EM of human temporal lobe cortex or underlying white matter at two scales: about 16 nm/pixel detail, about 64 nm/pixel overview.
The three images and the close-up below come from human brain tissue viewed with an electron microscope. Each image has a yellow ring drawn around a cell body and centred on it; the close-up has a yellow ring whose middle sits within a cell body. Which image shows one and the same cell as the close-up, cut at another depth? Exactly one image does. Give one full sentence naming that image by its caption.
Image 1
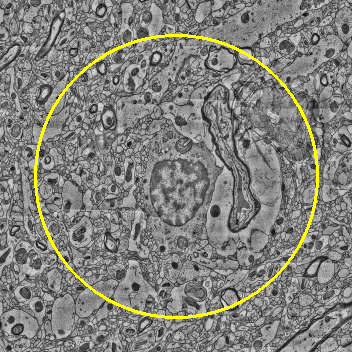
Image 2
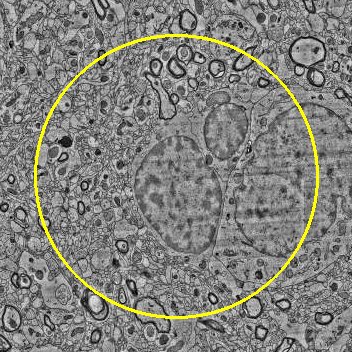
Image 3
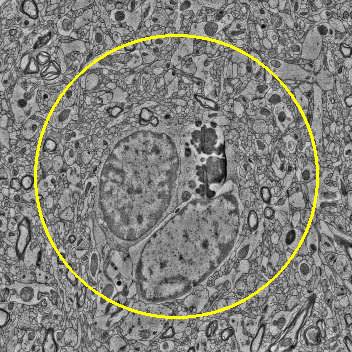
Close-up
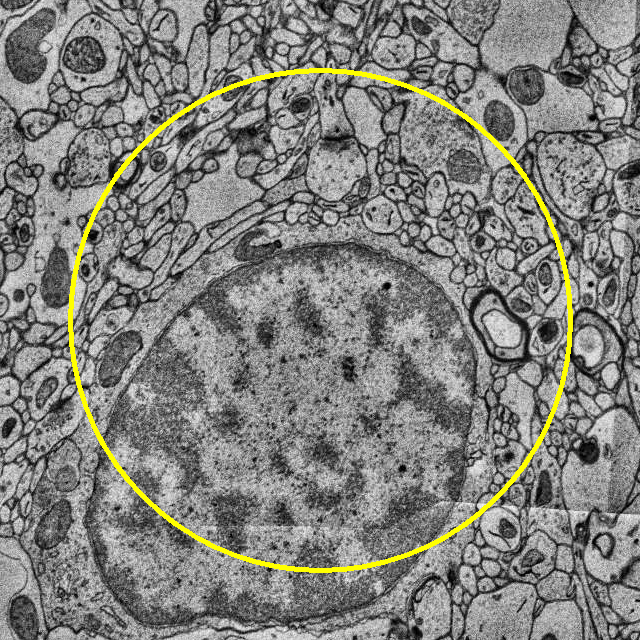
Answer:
Of all the ringed cells, the close-up shows the one in Image 3.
